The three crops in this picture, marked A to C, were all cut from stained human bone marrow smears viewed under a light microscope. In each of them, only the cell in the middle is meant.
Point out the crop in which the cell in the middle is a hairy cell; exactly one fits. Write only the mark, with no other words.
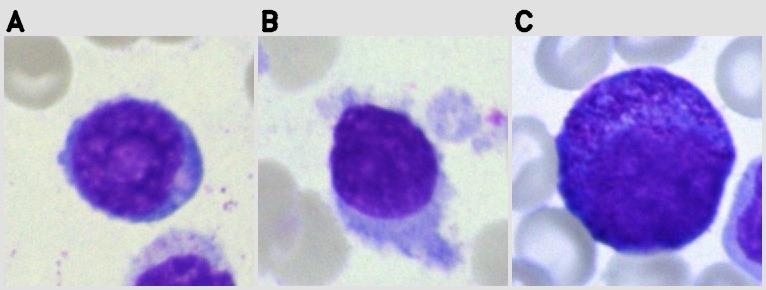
B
